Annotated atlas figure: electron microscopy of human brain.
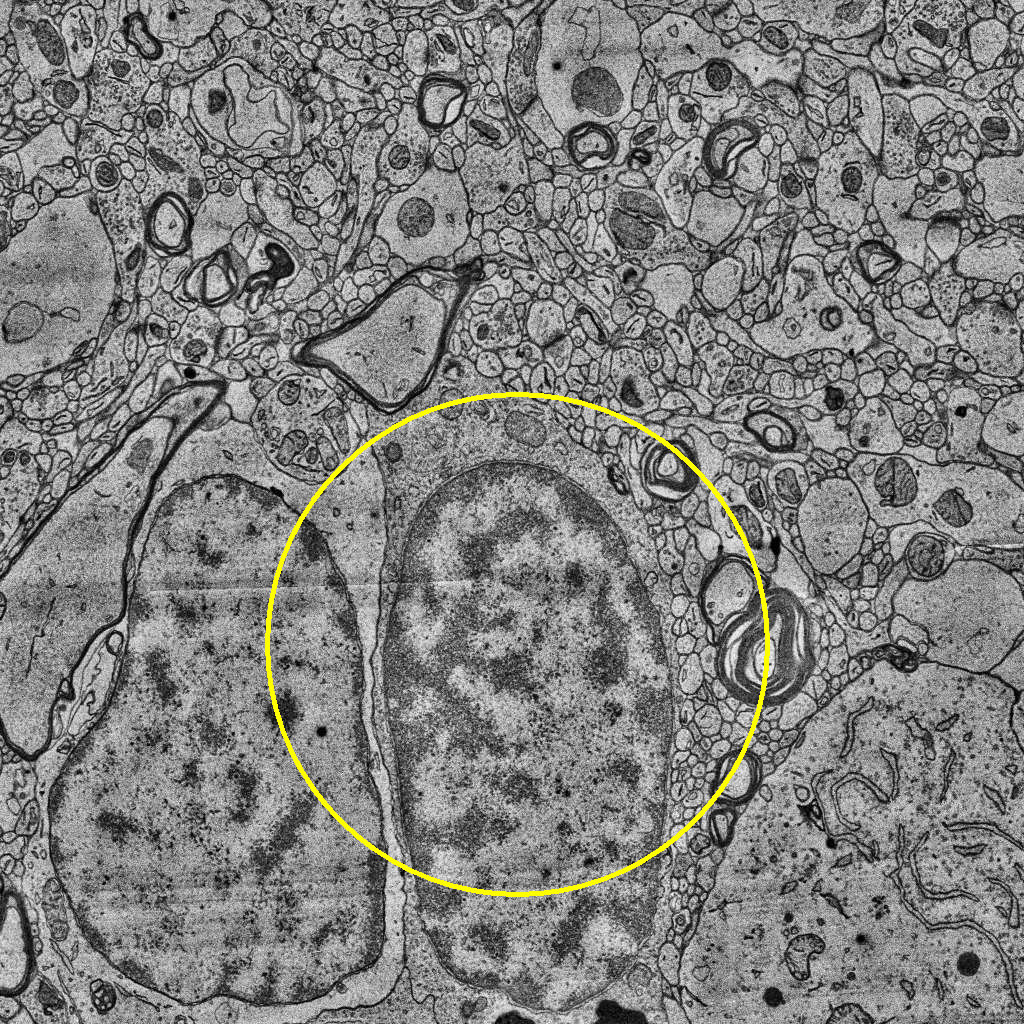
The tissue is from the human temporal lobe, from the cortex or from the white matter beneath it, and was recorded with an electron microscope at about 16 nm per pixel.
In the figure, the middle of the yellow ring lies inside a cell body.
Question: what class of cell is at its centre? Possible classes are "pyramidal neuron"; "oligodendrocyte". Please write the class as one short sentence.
The yellow ring's centre lies in an oligodendrocyte.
